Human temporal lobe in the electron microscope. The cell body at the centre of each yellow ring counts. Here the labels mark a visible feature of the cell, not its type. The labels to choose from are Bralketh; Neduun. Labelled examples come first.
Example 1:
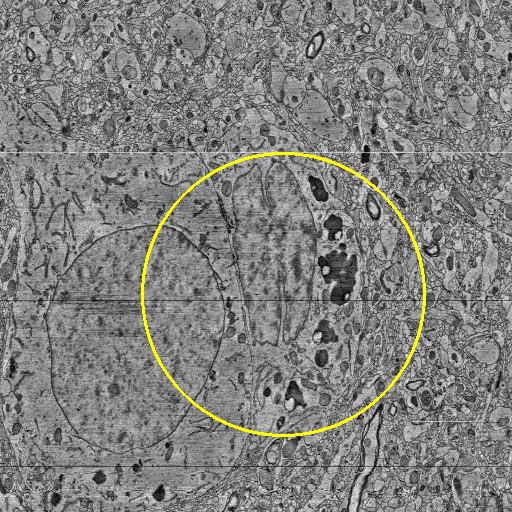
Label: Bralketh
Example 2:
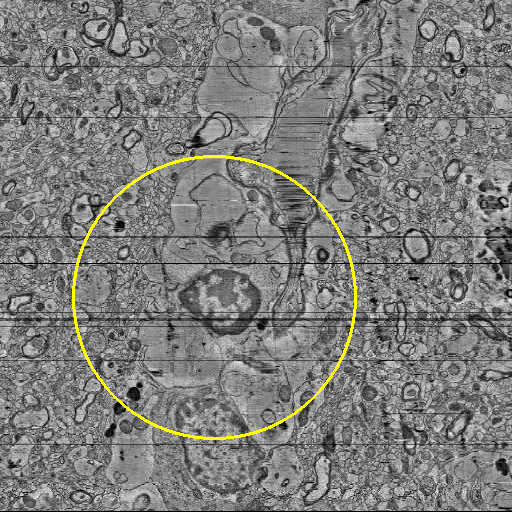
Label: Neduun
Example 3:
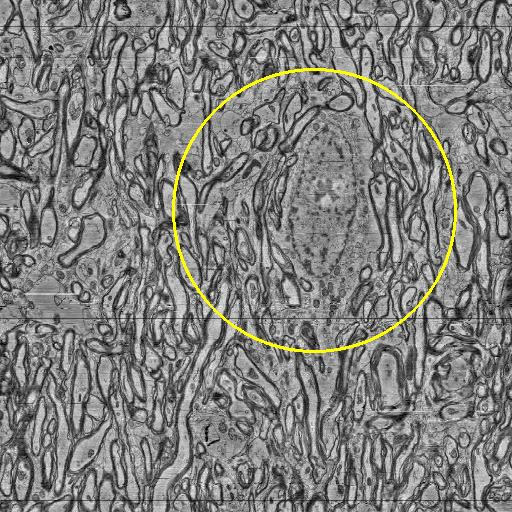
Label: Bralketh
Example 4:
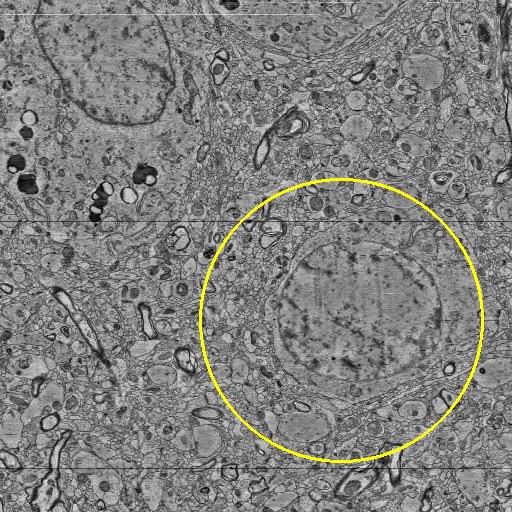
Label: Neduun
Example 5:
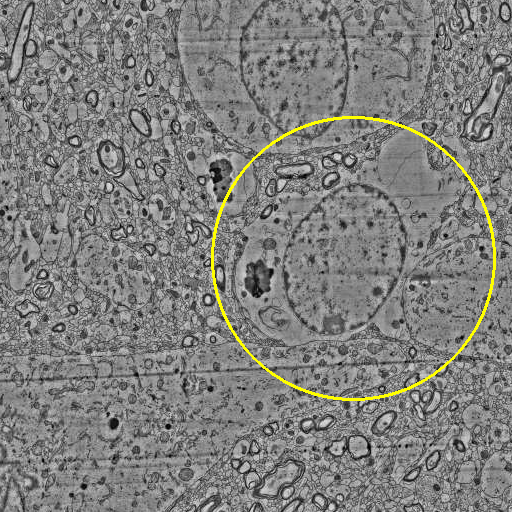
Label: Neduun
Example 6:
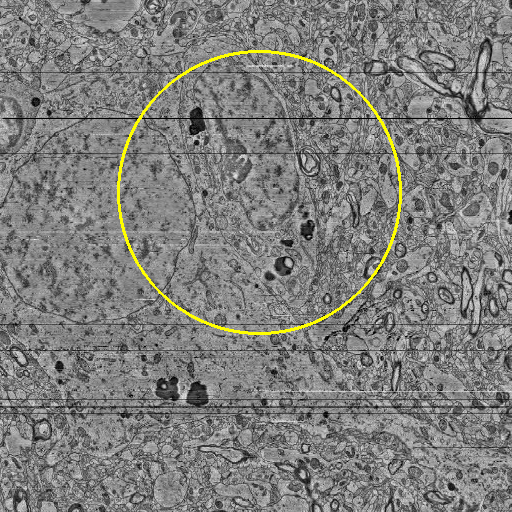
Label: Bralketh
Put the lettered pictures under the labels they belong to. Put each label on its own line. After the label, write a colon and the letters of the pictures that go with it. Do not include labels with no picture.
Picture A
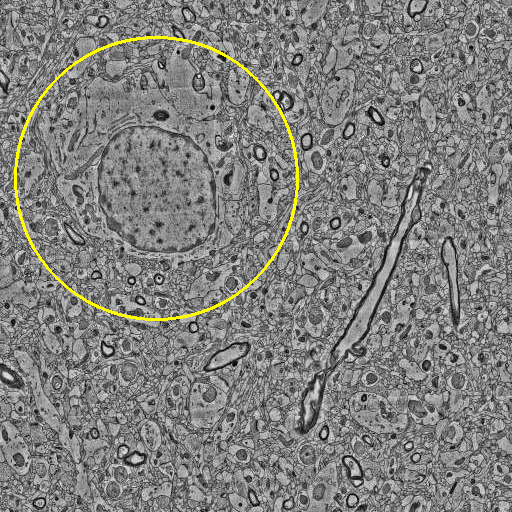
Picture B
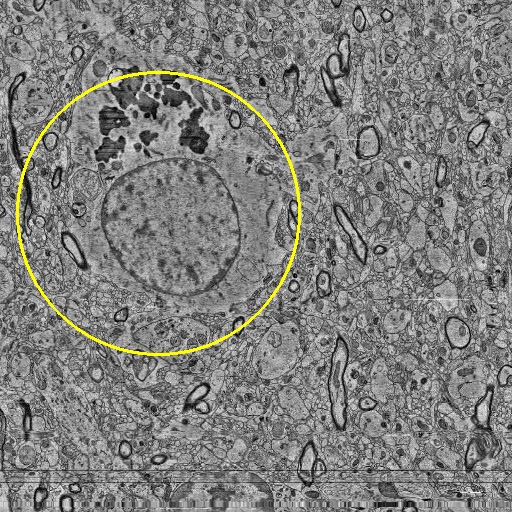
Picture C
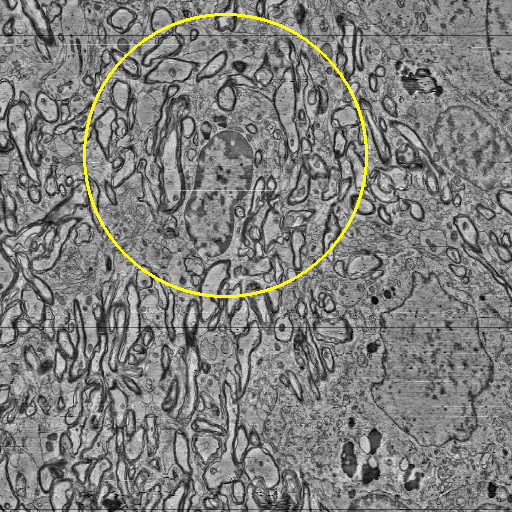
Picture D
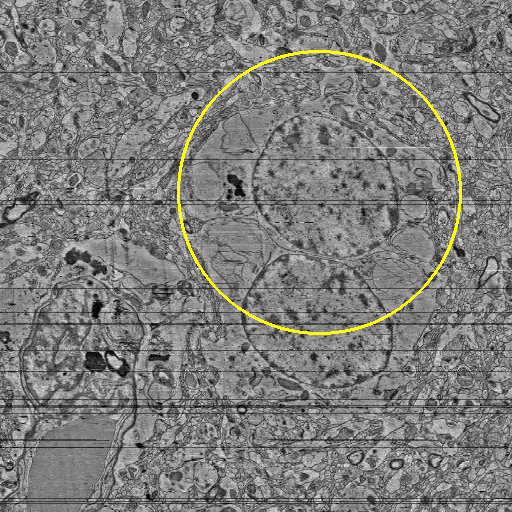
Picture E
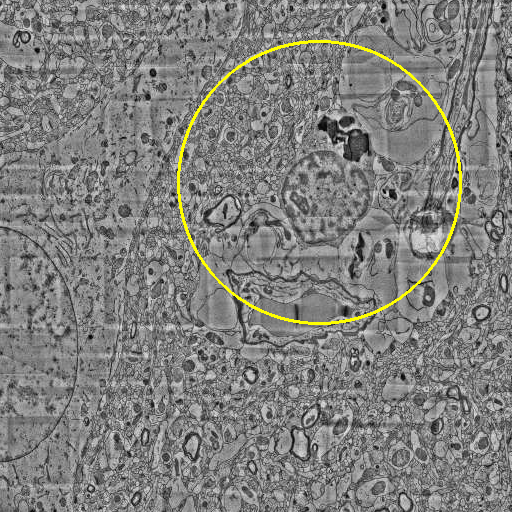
Bralketh: C
Neduun: A, B, D, E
